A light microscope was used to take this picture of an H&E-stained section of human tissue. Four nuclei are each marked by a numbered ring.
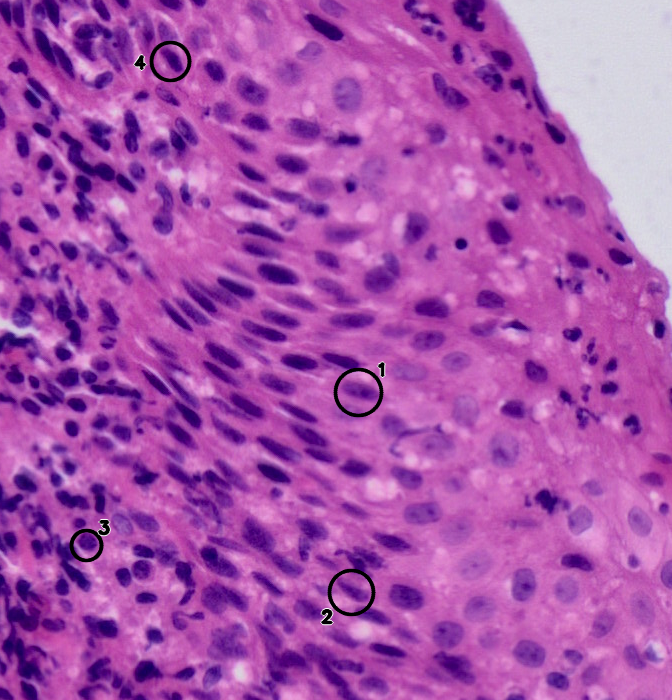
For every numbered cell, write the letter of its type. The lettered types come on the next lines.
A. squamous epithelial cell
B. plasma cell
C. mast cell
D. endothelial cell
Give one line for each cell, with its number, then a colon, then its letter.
1: A
2: A
3: B
4: A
